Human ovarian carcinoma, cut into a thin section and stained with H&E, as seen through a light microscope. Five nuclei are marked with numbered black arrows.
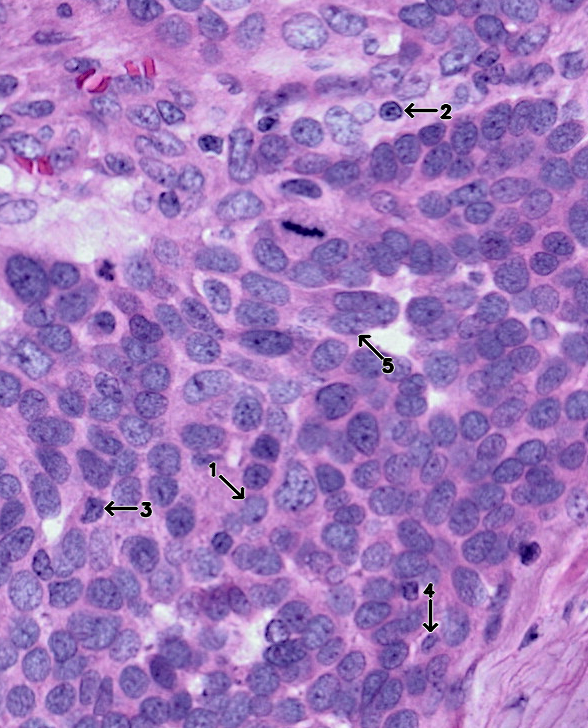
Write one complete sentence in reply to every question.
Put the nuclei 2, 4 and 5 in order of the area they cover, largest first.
From largest to smallest, the order is 5, 2, 4.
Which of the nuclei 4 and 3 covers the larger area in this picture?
Number 3 is larger; its area is about 1.5 times that of number 4.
